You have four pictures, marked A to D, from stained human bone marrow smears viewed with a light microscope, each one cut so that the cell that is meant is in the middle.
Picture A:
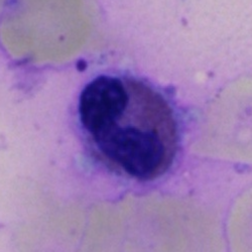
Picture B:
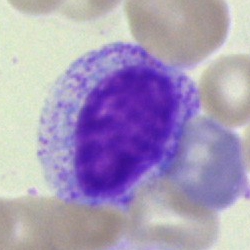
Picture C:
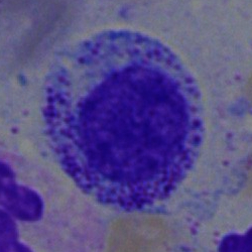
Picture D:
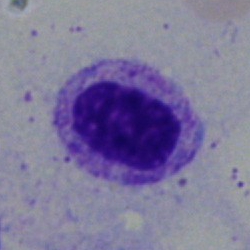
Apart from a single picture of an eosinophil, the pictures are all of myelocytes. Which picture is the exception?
A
